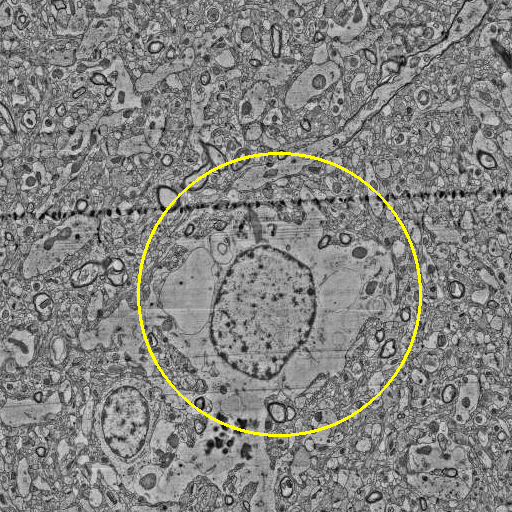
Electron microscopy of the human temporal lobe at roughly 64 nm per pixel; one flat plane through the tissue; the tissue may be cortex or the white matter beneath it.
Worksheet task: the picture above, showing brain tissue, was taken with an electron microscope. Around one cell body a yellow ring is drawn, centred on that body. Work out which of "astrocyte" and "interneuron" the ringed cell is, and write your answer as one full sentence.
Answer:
It is an astrocyte whose cell body lies at the centre of the yellow ring.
